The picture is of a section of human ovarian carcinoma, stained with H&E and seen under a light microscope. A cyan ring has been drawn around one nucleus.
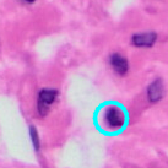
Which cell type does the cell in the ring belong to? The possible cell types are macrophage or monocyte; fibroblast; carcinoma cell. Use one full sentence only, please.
It is a fibroblast that the cell in the ring represents.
